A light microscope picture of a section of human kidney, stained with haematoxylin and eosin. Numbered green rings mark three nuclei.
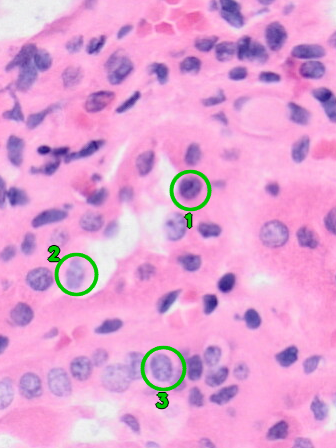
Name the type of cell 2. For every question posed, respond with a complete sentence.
The mark numbered 2 indicates the nucleus of a loop of Henle or distal tubule cell.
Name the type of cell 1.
The nucleus marked 1 is the nucleus of a loop of Henle or distal tubule cell.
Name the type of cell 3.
The one numbered 3 among the marked cells is a collecting duct cell.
